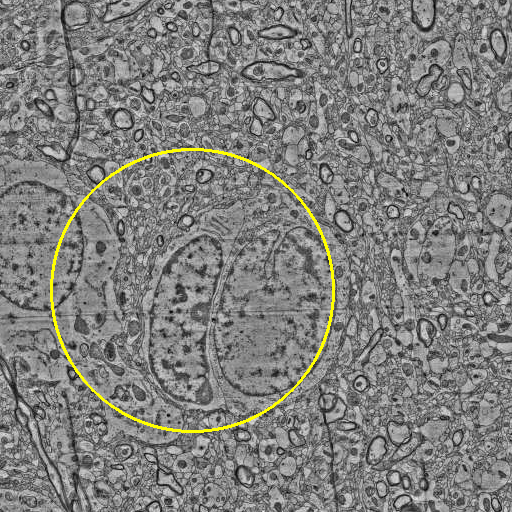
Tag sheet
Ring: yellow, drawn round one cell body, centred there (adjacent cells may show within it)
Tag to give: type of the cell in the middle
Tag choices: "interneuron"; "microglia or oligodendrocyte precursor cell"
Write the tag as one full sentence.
I tag the cell centred in the yellow ring as a microglial cell or oligodendrocyte precursor cell in this picture.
